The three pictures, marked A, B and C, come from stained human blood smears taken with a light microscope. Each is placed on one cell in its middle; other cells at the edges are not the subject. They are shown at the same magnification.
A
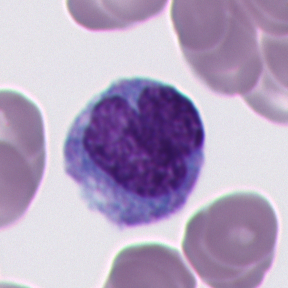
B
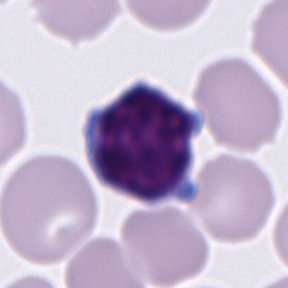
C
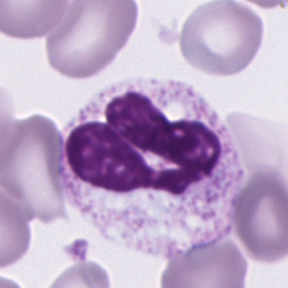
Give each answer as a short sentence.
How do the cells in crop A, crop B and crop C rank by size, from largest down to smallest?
From the largest down, the order is C, A, B.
